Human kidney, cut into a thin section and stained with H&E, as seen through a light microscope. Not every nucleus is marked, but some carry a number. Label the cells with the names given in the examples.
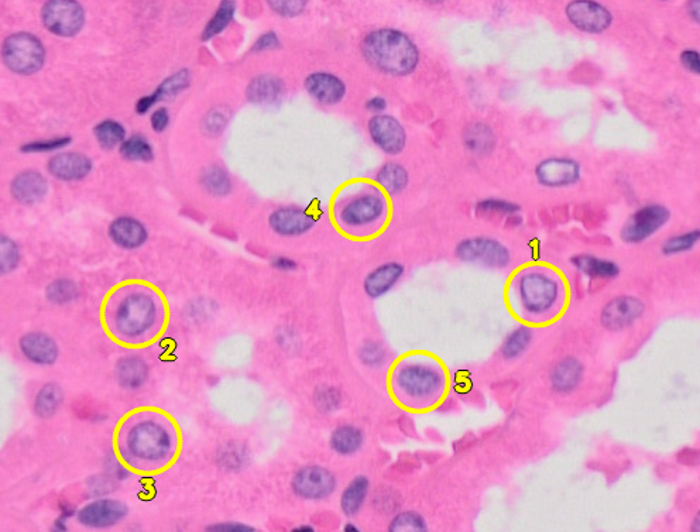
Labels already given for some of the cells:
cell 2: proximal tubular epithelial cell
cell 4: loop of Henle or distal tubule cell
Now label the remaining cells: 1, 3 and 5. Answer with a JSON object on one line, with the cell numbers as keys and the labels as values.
{"1": "loop of Henle or distal tubule cell", "3": "proximal tubular epithelial cell", "5": "loop of Henle or distal tubule cell"}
